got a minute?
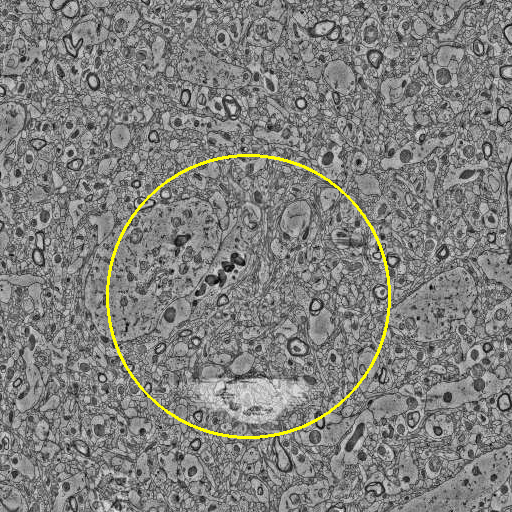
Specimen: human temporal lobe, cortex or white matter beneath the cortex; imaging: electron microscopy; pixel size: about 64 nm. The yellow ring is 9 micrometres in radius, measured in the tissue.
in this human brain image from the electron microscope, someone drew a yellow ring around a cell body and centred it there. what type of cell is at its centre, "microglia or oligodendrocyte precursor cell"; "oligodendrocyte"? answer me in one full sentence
It's a microglial cell or oligodendrocyte precursor cell at the middle of that yellow ring in the shot.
